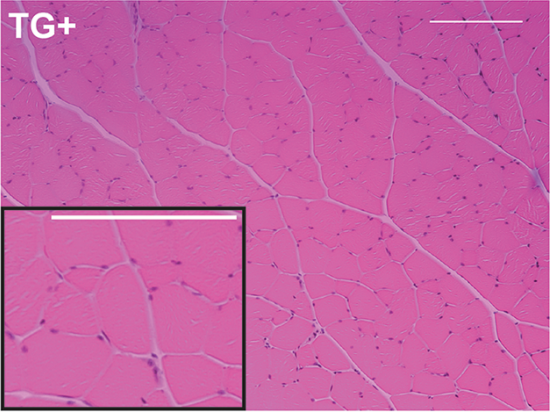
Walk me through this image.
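Here skeletal muscle fibers are seen in cross-section as tightly packed, angular pink profiles. Each fiber has uniform eosin-pink cytoplasm, and the flattened dark purple nuclei sit at the fiber margins. Fine pale connective tissue lines outline individual fibers, while wider pale septa run diagonally across the field, separating bundles of fibers. The inset magnifies a few fibers, showing nuclei tucked at their borders. The overall architecture looks orderly, with no obvious expansion of connective tissue, no clusters of inflammatory cells and no pale, breaking-down fibers.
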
